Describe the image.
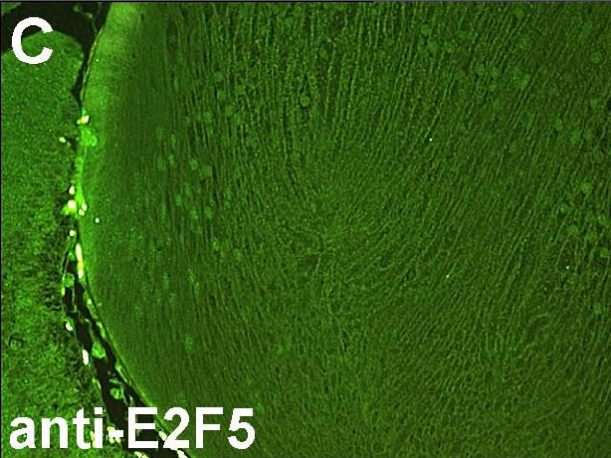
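Here is a section through the lens, a large rounded organ whose interior is packed with long, thin lens fiber cells running in gentle parallel arcs. The fibers are evenly and dimly green, giving a fine striped texture. Among them a few small round nuclei are just faintly brighter than the background, especially nearer the edge. The fibers lie tightly together without gaps. Along the curved outer border, outside the lens, a handful of small very bright cells can be seen in the surrounding tissue.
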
